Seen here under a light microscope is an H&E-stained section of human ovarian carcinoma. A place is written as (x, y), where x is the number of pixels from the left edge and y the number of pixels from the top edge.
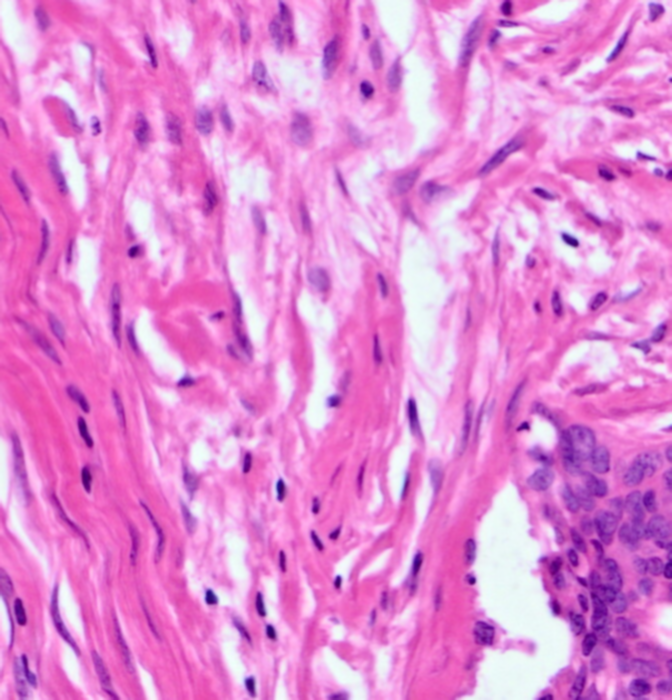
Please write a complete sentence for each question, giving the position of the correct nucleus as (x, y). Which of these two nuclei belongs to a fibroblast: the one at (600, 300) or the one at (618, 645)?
The cell to which the nucleus at (600, 300) belongs is a fibroblast.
